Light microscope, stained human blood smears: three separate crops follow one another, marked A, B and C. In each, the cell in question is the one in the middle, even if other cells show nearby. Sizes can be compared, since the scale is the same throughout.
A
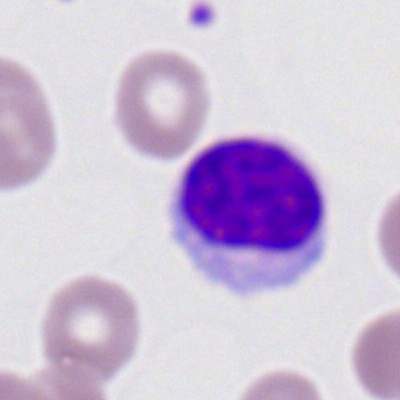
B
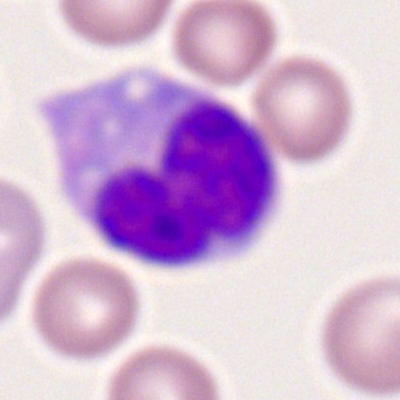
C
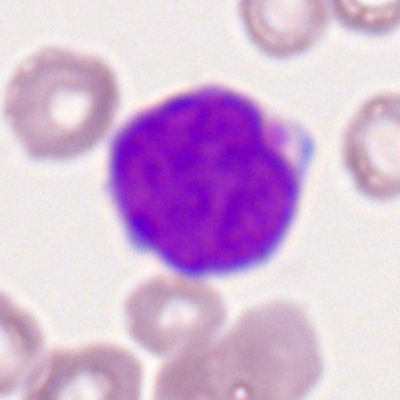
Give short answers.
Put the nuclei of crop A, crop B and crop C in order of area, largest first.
C, B, A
